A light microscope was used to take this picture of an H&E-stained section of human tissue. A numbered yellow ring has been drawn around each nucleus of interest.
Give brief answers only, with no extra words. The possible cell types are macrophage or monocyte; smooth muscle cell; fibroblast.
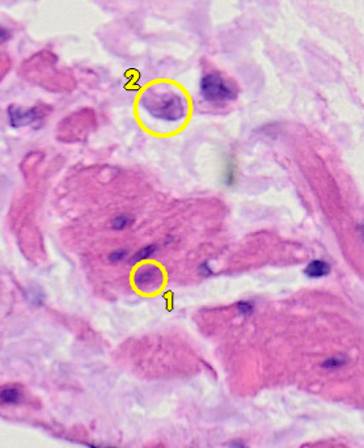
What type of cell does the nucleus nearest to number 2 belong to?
macrophage or monocyte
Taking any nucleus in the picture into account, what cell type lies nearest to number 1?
smooth muscle cell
